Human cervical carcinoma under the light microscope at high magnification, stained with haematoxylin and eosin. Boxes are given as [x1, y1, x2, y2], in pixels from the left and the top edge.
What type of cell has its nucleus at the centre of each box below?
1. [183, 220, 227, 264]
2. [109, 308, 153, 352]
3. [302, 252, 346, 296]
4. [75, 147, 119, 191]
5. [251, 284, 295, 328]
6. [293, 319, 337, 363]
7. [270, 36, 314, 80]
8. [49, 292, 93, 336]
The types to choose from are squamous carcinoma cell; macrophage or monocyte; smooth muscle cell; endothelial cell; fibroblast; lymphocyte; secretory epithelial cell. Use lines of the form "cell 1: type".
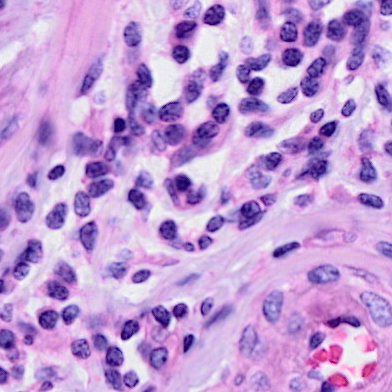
cell 1: lymphocyte
cell 2: lymphocyte
cell 3: smooth muscle cell
cell 4: lymphocyte
cell 5: smooth muscle cell
cell 6: endothelial cell
cell 7: lymphocyte
cell 8: lymphocyte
